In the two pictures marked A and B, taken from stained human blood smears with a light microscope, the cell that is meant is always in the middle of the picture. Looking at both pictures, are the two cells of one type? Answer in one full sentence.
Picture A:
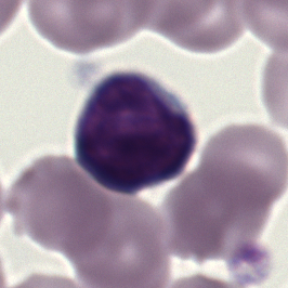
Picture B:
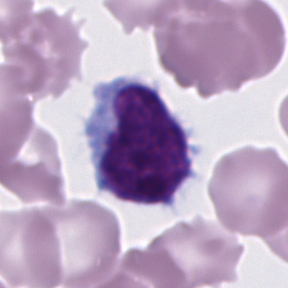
No; the cell in picture A is a typical lymphocyte, while the one in picture B is a hairy cell.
